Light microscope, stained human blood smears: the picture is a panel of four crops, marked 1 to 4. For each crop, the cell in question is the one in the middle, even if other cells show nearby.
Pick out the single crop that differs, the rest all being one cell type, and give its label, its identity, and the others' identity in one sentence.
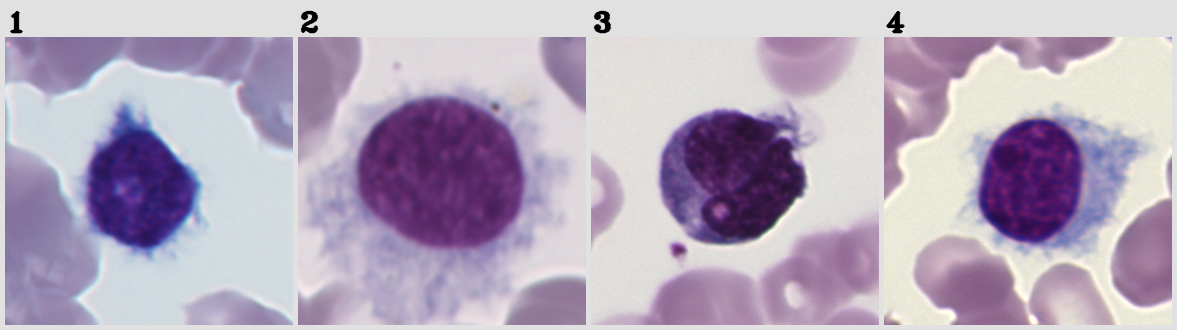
The single exception is crop 3, which is a monocyte; all other crops show hairy cells.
